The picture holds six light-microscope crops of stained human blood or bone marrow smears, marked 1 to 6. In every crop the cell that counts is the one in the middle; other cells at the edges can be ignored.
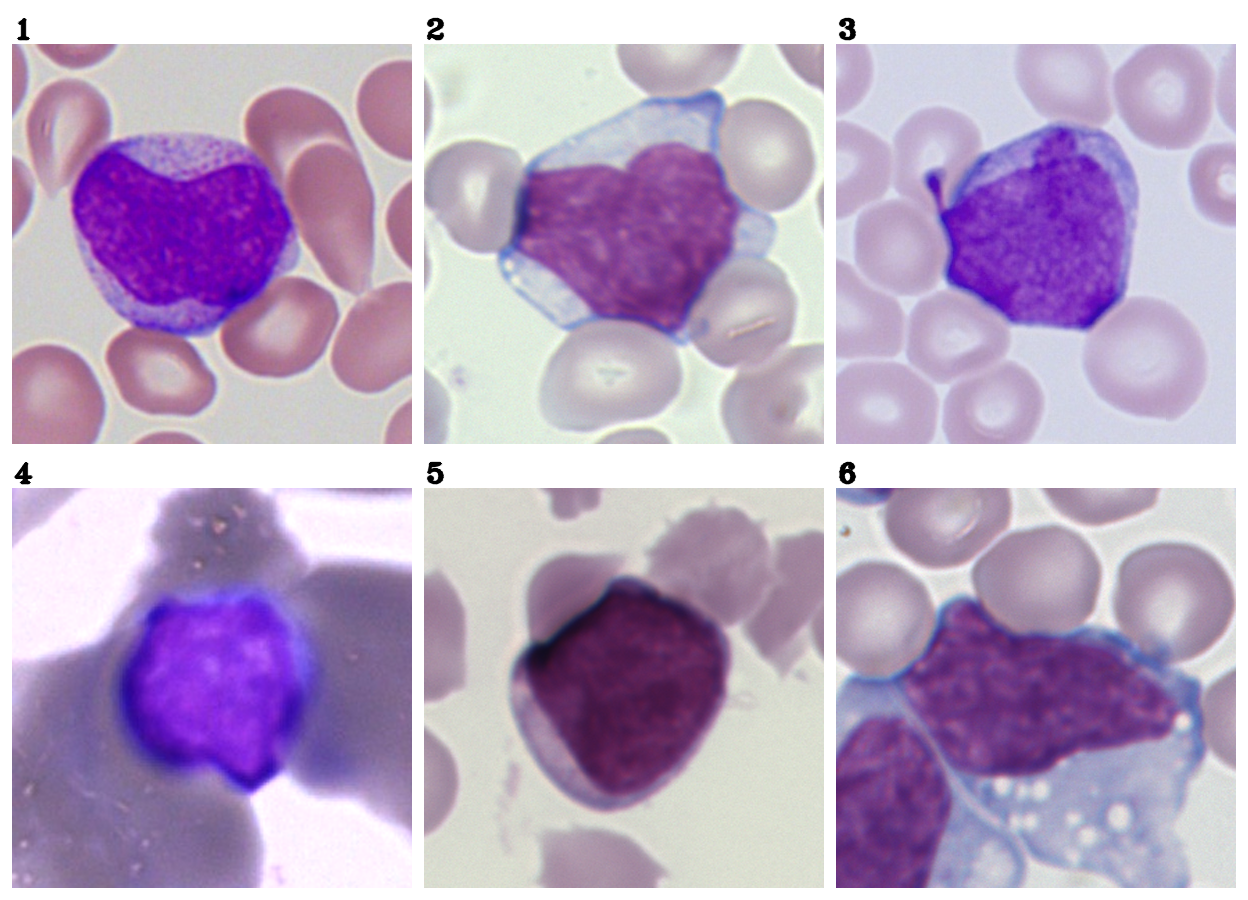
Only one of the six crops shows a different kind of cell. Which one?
4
